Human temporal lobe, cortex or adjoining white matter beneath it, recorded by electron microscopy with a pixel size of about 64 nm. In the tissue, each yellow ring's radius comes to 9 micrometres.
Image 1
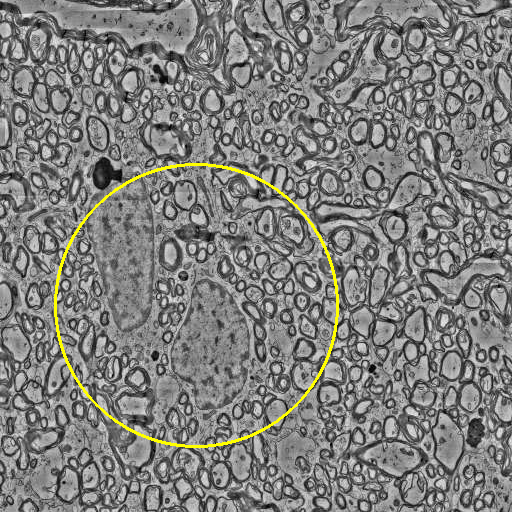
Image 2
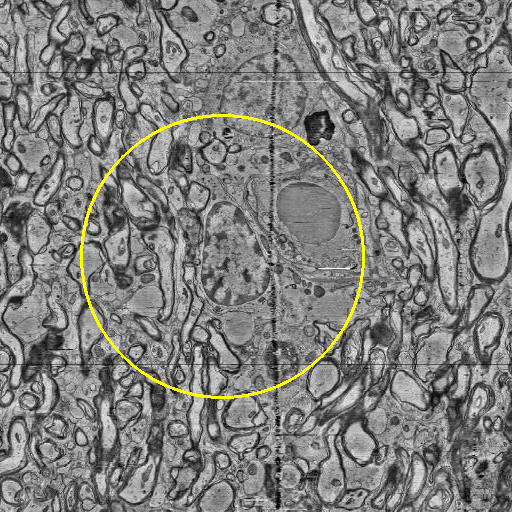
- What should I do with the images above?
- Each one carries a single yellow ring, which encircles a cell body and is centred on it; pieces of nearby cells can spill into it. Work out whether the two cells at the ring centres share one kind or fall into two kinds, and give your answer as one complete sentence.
The ring-centre cells of Image 1 and Image 2 share one kind.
